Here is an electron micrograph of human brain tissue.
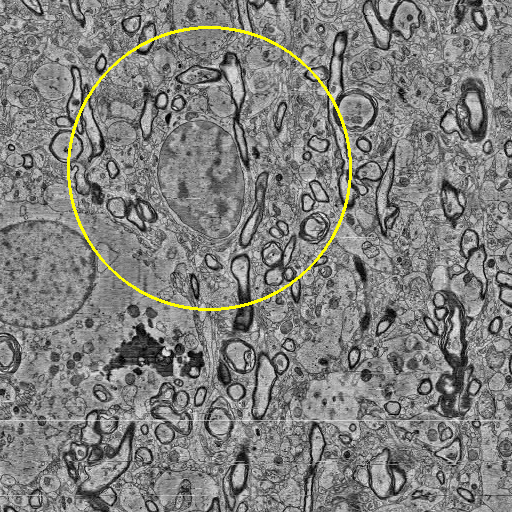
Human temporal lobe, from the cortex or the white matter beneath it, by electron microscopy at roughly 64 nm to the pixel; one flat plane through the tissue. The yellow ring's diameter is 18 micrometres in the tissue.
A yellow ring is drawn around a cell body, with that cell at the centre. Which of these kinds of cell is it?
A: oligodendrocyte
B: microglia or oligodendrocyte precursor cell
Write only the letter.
B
